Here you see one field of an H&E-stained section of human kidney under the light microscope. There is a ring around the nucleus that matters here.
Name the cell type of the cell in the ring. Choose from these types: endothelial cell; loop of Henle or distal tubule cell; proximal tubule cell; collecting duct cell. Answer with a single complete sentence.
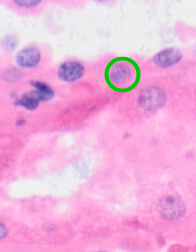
In this field of tissue, the cell in the ring is a loop of Henle or distal tubule cell.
